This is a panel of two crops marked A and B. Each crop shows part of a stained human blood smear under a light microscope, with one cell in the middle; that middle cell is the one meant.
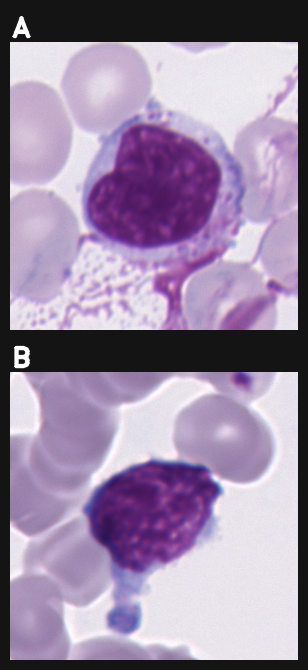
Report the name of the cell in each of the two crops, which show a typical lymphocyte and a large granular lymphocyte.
A: large granular lymphocyte
B: typical lymphocyte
